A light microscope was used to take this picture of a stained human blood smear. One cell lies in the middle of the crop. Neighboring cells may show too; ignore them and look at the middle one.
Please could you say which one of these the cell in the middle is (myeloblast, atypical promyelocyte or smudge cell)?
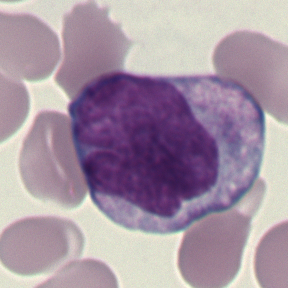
atypical promyelocyte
